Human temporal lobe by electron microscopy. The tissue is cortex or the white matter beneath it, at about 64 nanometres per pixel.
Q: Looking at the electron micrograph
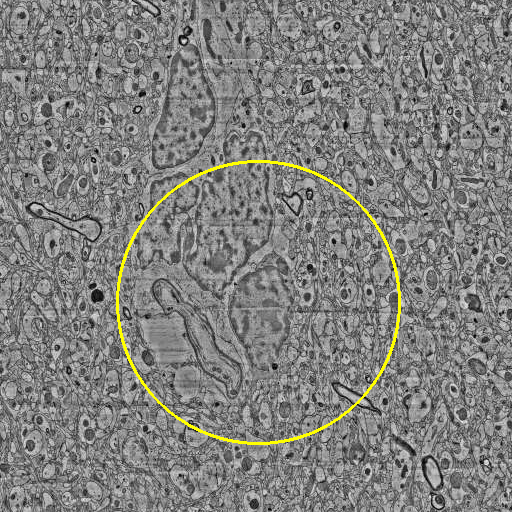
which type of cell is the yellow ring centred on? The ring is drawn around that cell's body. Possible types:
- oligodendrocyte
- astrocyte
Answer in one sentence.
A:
The yellow ring is centred on an oligodendrocyte.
